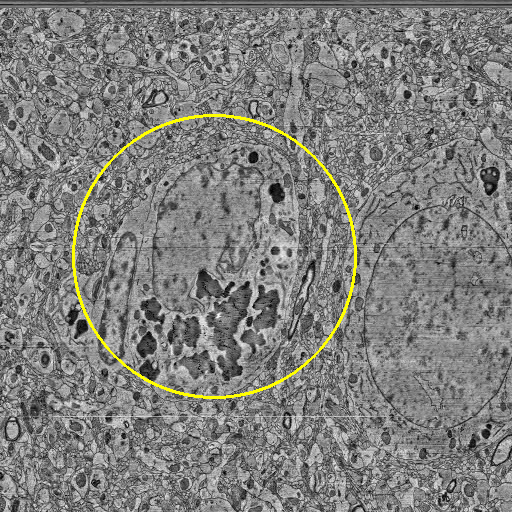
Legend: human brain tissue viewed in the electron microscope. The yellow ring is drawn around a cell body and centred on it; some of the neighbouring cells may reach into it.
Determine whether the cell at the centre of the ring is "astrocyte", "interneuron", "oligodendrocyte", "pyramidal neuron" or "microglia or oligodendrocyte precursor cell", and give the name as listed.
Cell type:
interneuron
